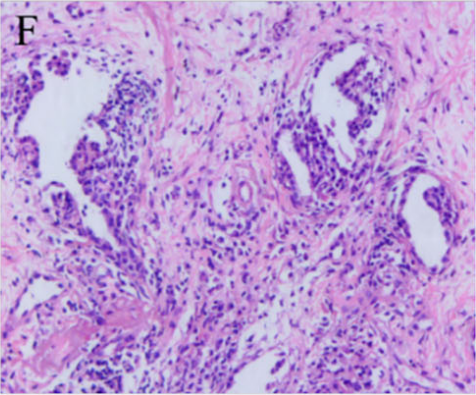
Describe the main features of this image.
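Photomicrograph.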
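This section shows chronic inflammatory cell infiltration with fibrous tissue proliferation. Numerous small cells with round, dark purple nuclei and scant cytoplasm are crowded together, especially around several open spaces lined by cells. Between these spaces lies pink fibrous tissue in which elongated, spindle-shaped nuclei are scattered. The open spaces are irregular and empty, and the dense cellular infiltrate and fibrous stroma take up much of the tissue between them.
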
